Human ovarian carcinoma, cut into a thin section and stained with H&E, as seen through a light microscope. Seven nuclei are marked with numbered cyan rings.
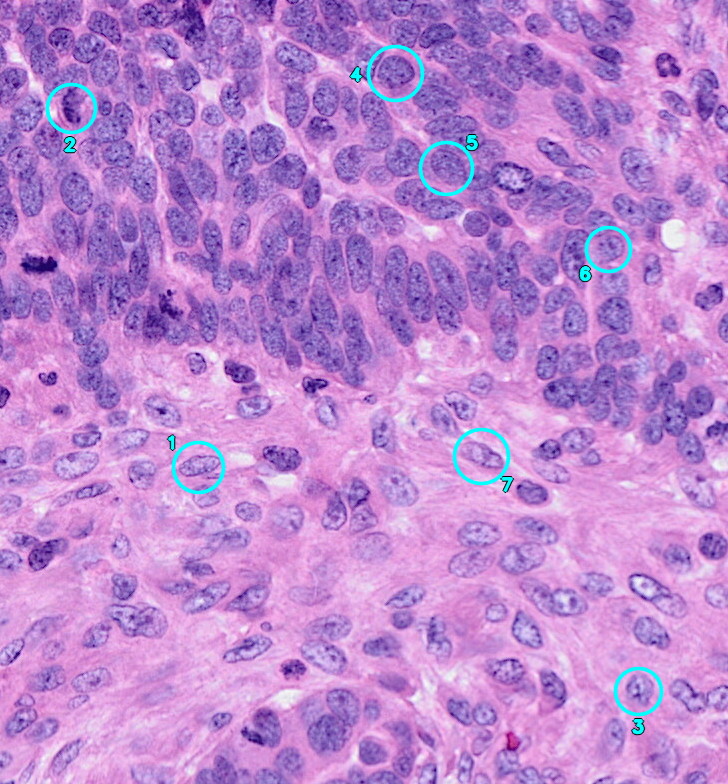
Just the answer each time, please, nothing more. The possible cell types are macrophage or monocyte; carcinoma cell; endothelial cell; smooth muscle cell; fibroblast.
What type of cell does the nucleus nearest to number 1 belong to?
fibroblast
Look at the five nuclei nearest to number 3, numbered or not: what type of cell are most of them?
fibroblast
